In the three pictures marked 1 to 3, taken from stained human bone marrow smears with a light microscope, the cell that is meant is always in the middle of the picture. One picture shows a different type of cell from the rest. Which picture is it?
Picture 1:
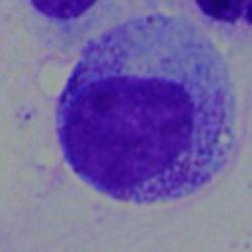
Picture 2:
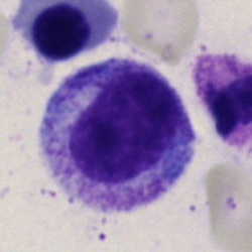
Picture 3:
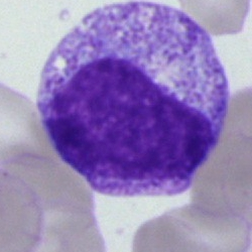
2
